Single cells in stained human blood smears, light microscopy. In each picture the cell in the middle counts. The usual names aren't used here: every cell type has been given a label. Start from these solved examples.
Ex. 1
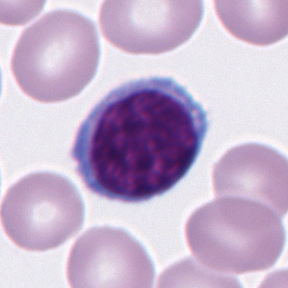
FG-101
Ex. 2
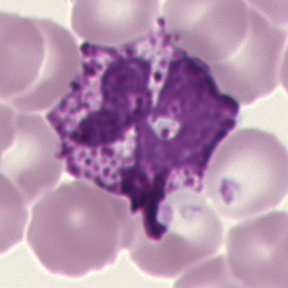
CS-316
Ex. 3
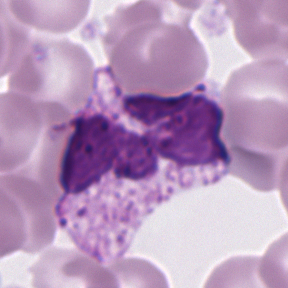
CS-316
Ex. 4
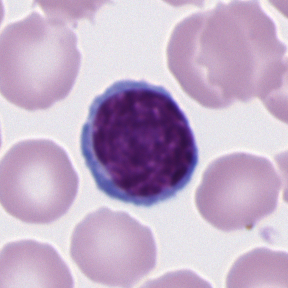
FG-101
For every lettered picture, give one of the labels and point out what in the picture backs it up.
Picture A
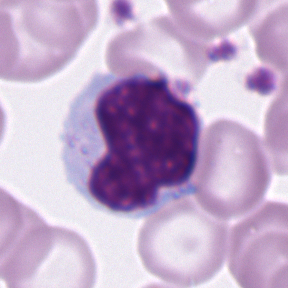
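FG-101. Evidence: A few fine purplish granules are scattered in the cytoplasm.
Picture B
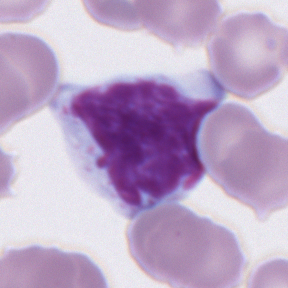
FG-101. Evidence: A few small reddish-purple granules lie in the cytoplasm on the left side.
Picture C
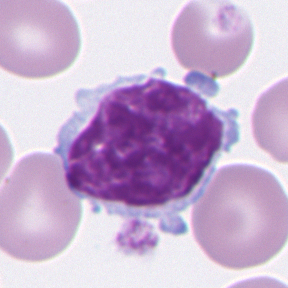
FG-101. Evidence: The nucleus is unlobed, forming a single mass.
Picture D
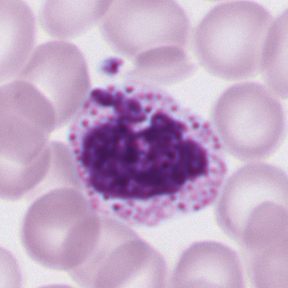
CS-316. Evidence: The cytoplasm between the granules is pale pink.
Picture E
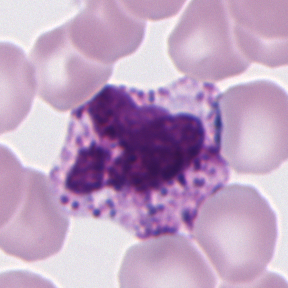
CS-316. Evidence: The granules are coarse and unevenly scattered.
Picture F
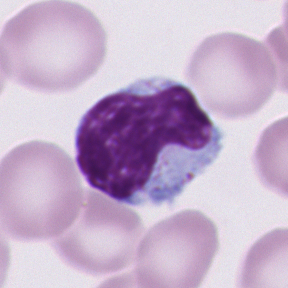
FG-101. Evidence: The nucleus is notched on its lower right side, giving it a bean shape.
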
